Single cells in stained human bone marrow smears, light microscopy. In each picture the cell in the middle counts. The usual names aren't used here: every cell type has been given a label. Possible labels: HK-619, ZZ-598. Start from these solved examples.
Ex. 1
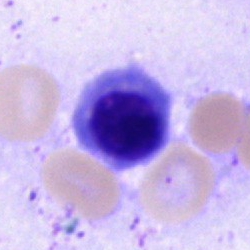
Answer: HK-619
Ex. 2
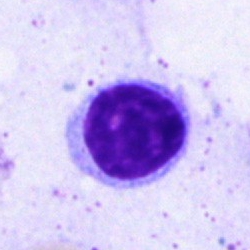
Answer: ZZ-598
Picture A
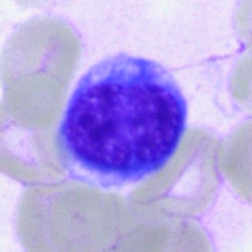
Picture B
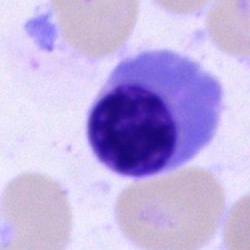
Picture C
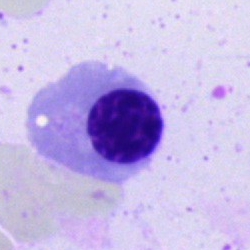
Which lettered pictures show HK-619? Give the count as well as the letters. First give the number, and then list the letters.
Count: 2 (B, C)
